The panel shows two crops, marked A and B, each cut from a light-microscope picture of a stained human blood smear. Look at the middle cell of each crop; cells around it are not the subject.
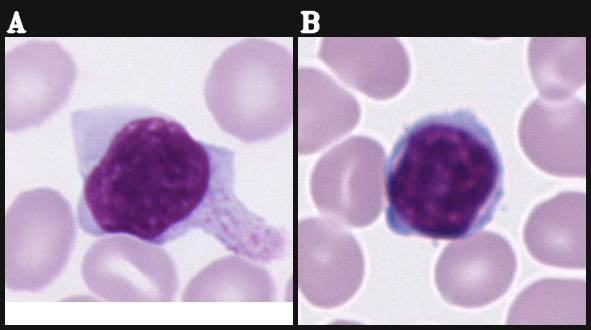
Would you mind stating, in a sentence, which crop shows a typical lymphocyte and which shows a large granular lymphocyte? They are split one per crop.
Crop A represents a large granular lymphocyte, while crop B represents a typical lymphocyte.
